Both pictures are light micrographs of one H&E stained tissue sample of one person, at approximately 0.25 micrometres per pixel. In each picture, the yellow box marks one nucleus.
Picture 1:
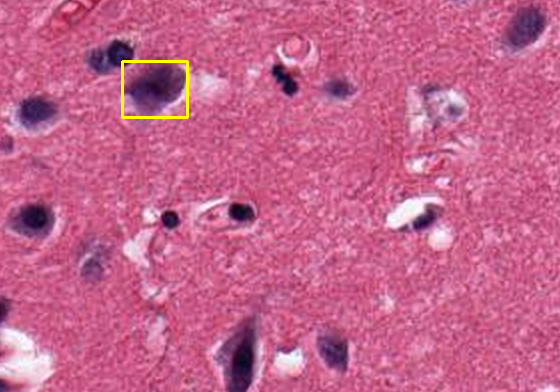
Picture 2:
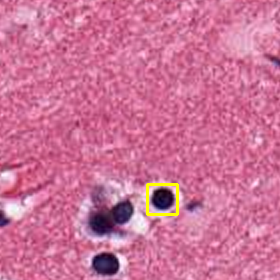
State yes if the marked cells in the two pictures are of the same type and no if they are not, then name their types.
No, the first is a neuron and the second an oligodendrocyte.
